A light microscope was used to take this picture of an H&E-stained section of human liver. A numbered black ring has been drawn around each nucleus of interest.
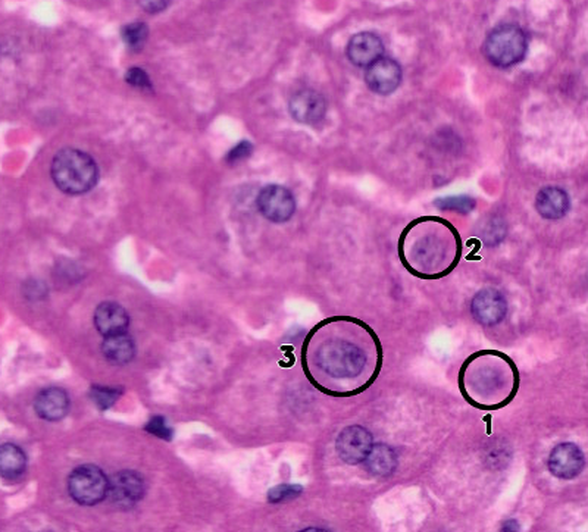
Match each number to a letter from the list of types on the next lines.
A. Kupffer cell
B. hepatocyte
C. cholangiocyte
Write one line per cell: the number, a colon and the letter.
1: A
2: B
3: B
